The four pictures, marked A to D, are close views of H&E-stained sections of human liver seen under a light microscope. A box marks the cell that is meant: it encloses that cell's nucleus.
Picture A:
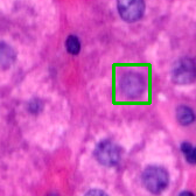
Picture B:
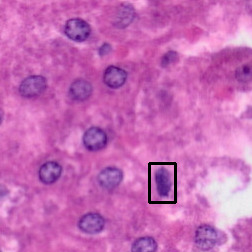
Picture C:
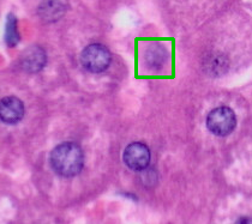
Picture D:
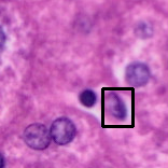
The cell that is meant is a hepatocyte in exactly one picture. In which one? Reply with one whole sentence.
The cell in picture A is the hepatocyte.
